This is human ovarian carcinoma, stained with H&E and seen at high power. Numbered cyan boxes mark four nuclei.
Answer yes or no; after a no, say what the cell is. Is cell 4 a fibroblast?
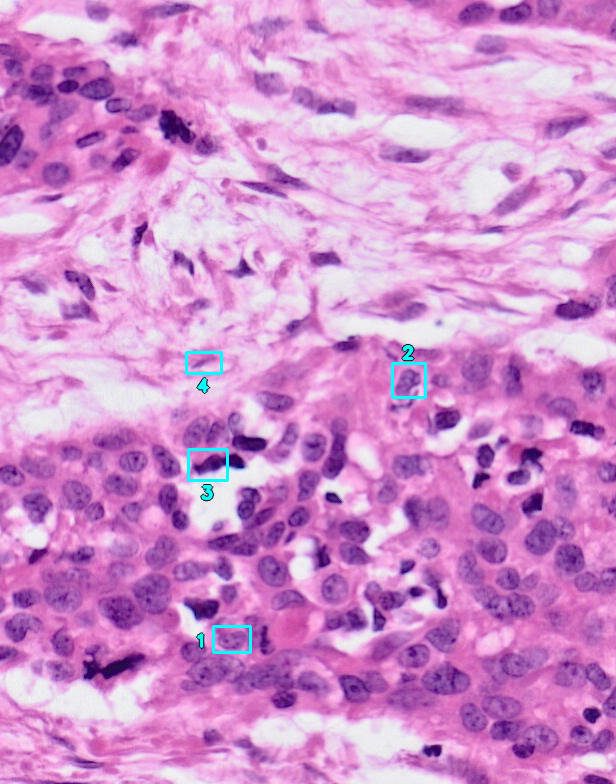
Yes.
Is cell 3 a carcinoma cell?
Yes.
